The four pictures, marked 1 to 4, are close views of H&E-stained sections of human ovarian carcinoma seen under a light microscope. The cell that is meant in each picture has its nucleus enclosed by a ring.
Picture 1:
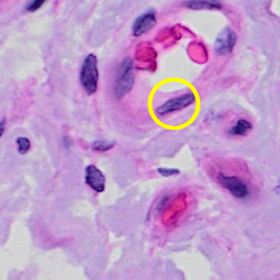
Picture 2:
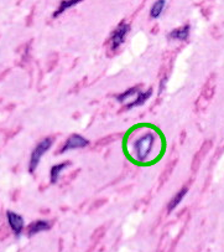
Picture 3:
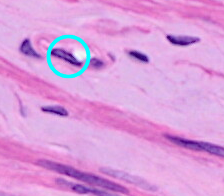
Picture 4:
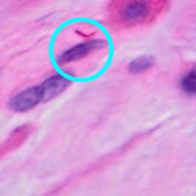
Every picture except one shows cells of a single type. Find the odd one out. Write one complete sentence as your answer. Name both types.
The others show endothelial cells, but picture 2 shows a fibroblast.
